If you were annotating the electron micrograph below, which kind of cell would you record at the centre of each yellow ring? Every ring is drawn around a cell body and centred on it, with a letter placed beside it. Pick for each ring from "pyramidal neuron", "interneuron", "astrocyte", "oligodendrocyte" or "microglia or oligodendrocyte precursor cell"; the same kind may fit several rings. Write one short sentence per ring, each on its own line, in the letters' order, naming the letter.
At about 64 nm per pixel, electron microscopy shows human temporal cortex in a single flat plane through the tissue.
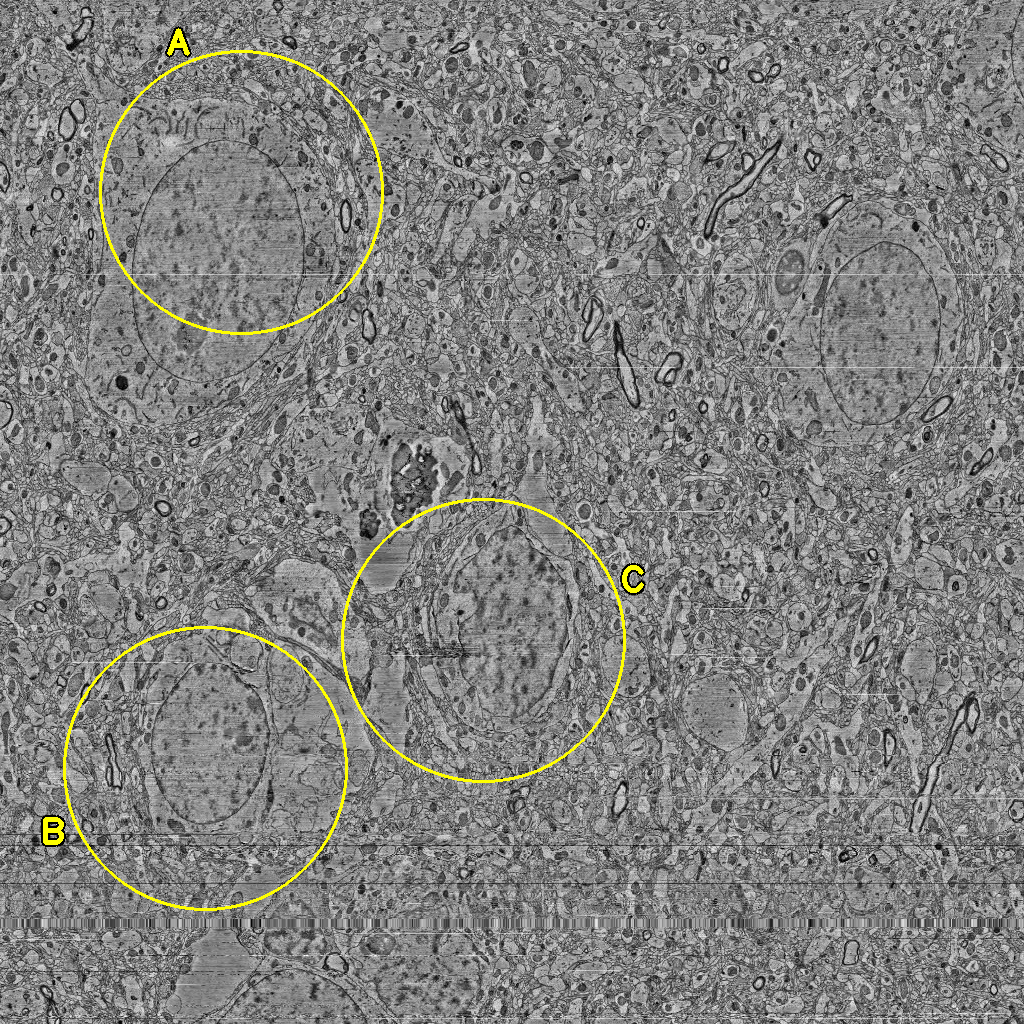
For ring A, I would record a pyramidal neuron.
For ring B, I would record an astrocyte.
For ring C, I would record an interneuron.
